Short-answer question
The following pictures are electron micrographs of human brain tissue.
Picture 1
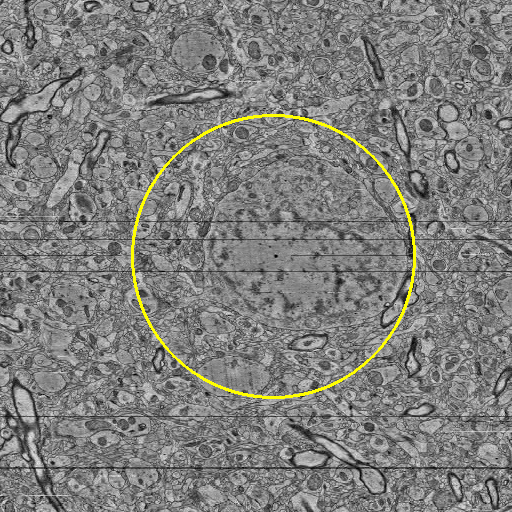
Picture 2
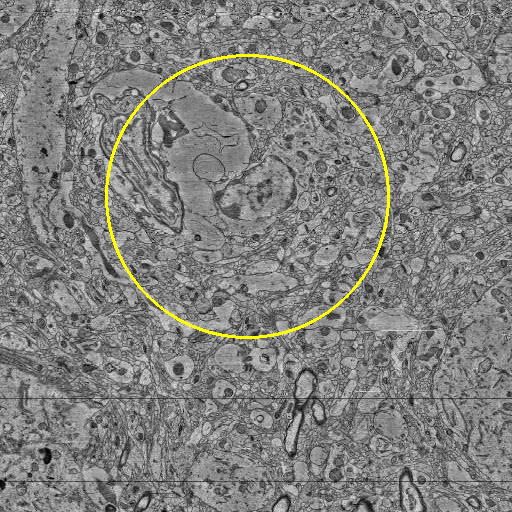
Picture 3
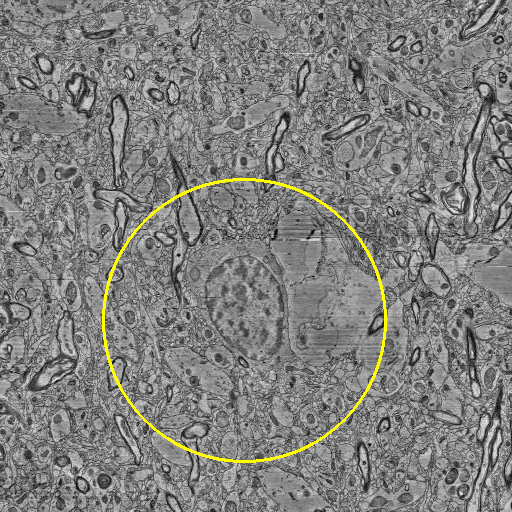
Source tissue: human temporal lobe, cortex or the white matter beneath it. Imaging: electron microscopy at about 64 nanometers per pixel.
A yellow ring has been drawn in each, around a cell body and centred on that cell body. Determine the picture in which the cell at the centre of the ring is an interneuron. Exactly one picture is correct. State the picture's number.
1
